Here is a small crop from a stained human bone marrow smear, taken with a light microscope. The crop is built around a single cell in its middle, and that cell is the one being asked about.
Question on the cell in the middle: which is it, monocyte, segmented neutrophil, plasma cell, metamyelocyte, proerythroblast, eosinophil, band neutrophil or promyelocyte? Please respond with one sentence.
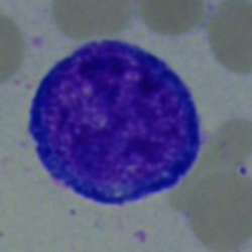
This crop's central cell is a proerythroblast.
